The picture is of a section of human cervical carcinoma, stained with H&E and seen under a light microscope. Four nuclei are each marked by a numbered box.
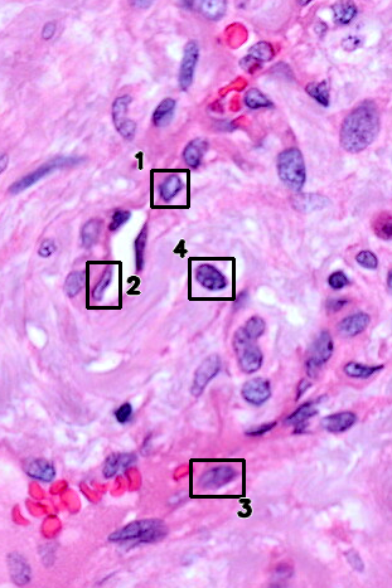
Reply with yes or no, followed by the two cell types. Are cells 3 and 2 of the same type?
Yes, the cells bearing numbers 3 and 2 are both endothelial cells.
